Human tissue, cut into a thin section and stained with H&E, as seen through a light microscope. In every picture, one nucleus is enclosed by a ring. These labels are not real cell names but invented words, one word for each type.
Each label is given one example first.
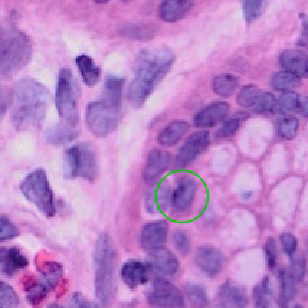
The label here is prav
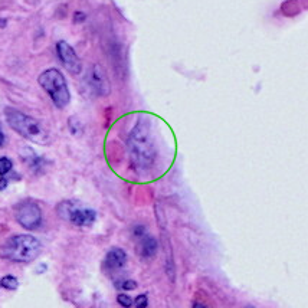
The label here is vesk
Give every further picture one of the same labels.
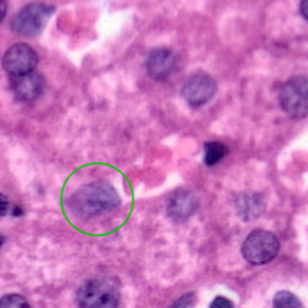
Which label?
vesk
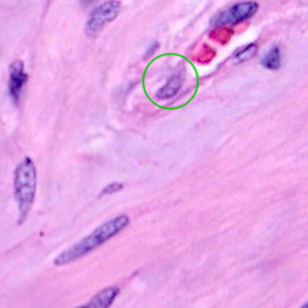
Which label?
vesk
